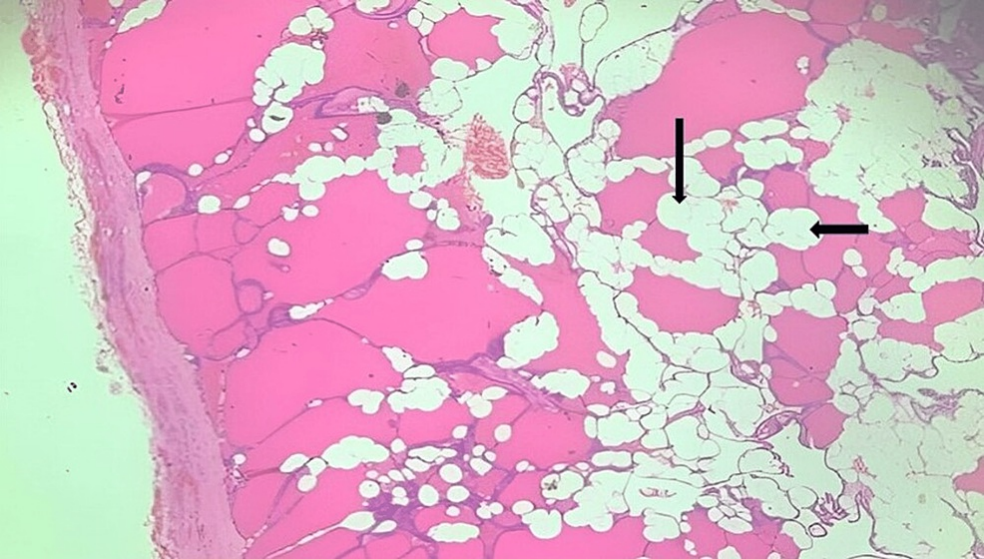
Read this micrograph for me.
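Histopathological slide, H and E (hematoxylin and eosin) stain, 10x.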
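Thyroid tissue with large follicles distended by homogeneous pink colloid, lined by thin flattened epithelium and separated by delicate septa. Clusters of clear, empty-looking, round to polygonal adipocytes with thin rims lie between the follicles, most densely toward the right half. A band of pink fibrous tissue runs along the left edge.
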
